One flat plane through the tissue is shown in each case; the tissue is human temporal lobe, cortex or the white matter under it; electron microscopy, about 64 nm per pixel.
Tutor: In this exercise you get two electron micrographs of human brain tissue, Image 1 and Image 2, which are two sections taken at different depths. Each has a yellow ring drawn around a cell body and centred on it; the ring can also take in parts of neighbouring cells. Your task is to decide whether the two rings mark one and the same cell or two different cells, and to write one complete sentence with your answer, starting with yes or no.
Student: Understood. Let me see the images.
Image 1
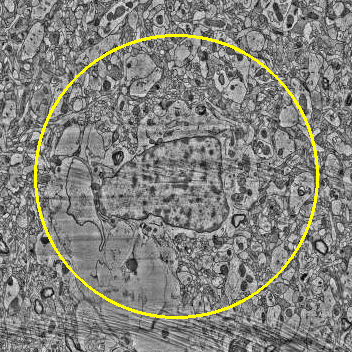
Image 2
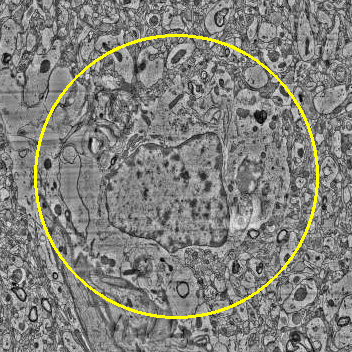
Yes, the same cell turns up inside each of the two rings.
